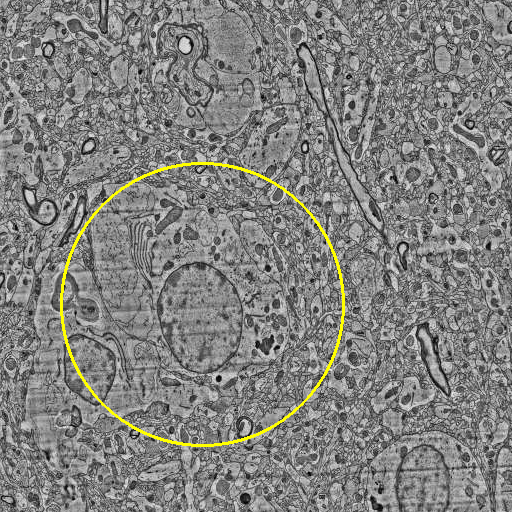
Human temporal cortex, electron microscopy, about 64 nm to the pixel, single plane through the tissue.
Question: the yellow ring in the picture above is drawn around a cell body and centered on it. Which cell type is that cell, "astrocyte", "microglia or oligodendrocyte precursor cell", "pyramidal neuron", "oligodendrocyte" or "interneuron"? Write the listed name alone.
astrocyte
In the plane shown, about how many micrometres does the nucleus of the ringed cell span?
In this plane, the nucleus of the cell at the centre of the ring measures about 7 by 5 micrometres.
